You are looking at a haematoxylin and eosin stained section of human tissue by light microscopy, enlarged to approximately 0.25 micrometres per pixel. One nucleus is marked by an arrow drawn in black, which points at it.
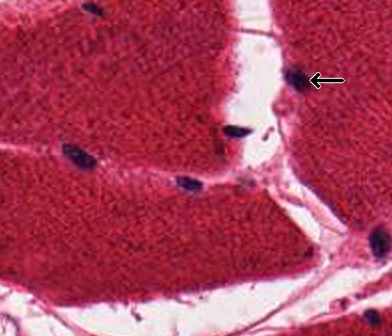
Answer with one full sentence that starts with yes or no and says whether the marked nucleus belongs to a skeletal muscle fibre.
Yes, the marked nucleus is assigned to a skeletal muscle fibre.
